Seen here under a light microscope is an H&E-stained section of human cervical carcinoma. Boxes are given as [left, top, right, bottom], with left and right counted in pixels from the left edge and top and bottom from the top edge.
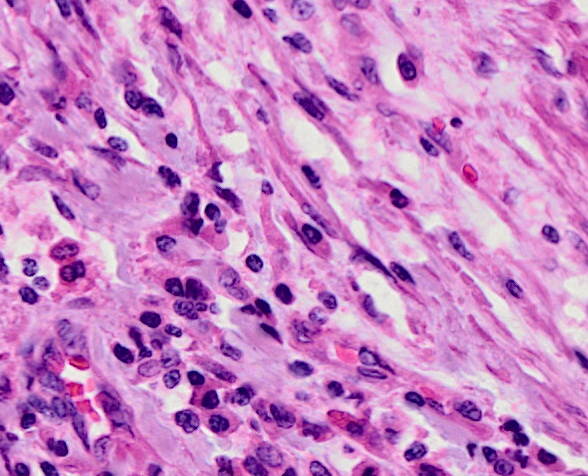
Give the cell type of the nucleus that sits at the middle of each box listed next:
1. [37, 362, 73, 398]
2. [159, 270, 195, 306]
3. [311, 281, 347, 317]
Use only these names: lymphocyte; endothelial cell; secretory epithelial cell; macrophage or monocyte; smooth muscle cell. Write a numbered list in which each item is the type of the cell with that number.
1. endothelial cell
2. lymphocyte
3. lymphocyte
